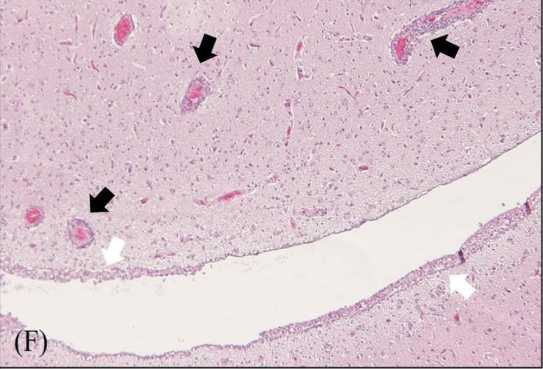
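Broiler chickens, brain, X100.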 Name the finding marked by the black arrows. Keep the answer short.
Perivascular cuffing.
